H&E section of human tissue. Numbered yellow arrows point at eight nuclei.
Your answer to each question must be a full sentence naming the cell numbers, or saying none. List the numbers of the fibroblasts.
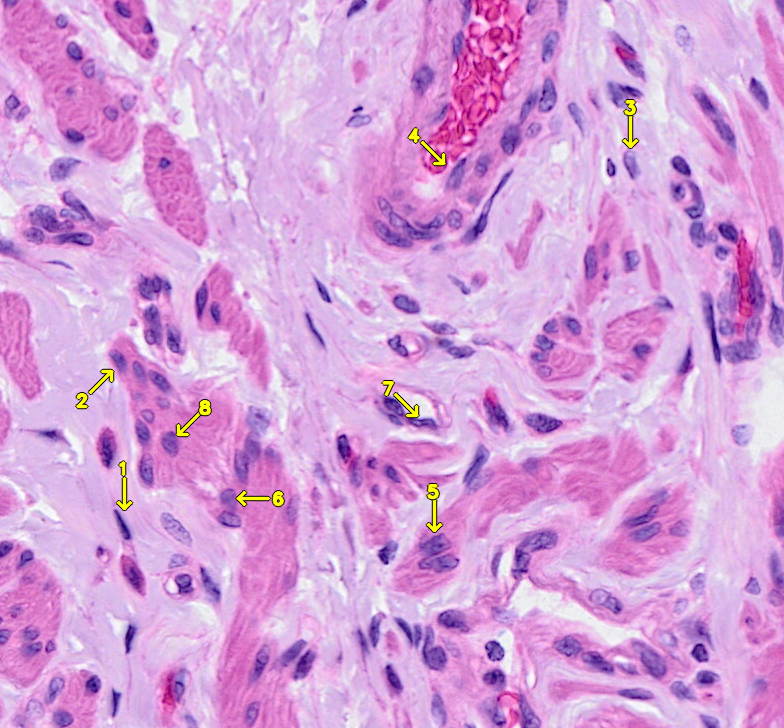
On this slide, the cells numbered 1 and 3 are fibroblasts.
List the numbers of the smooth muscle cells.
To be specific, the cells numbered 2, 5, 6 and 8 are smooth muscle cells.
